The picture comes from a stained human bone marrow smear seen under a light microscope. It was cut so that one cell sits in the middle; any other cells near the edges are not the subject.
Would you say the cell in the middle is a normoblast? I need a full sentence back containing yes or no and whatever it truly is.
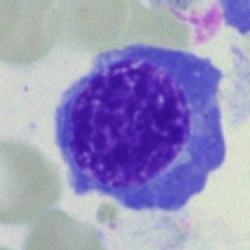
Yes, the cell in the middle has the identity of a normoblast.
